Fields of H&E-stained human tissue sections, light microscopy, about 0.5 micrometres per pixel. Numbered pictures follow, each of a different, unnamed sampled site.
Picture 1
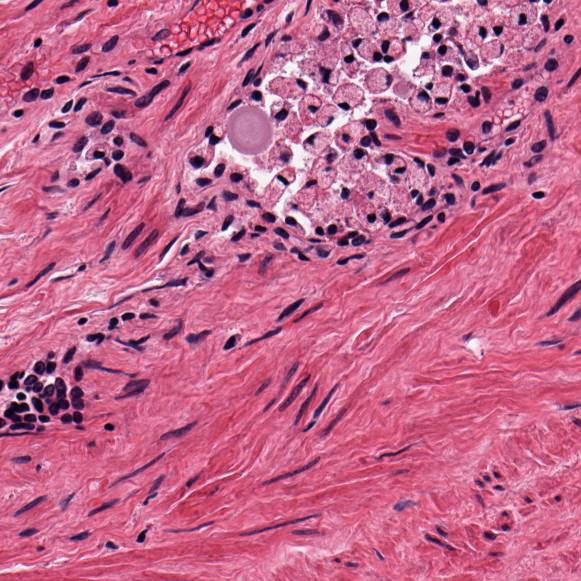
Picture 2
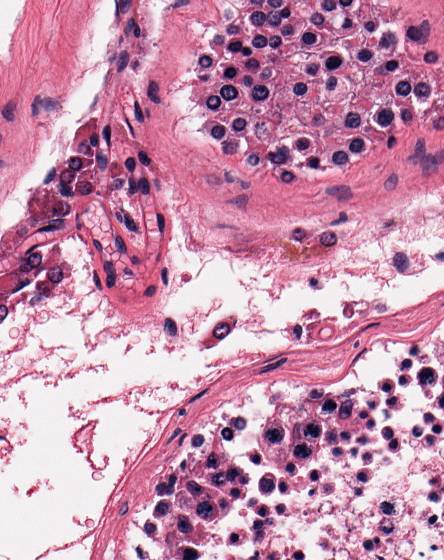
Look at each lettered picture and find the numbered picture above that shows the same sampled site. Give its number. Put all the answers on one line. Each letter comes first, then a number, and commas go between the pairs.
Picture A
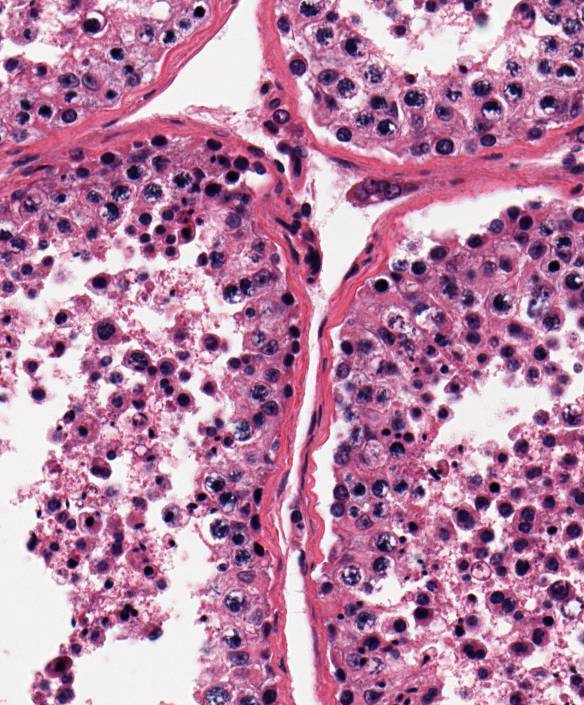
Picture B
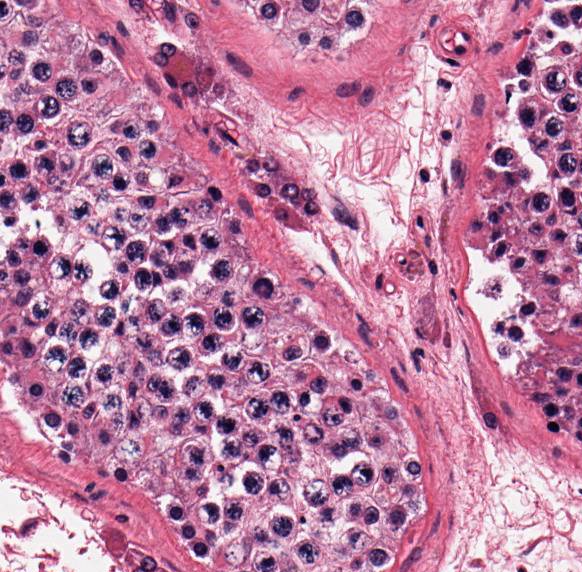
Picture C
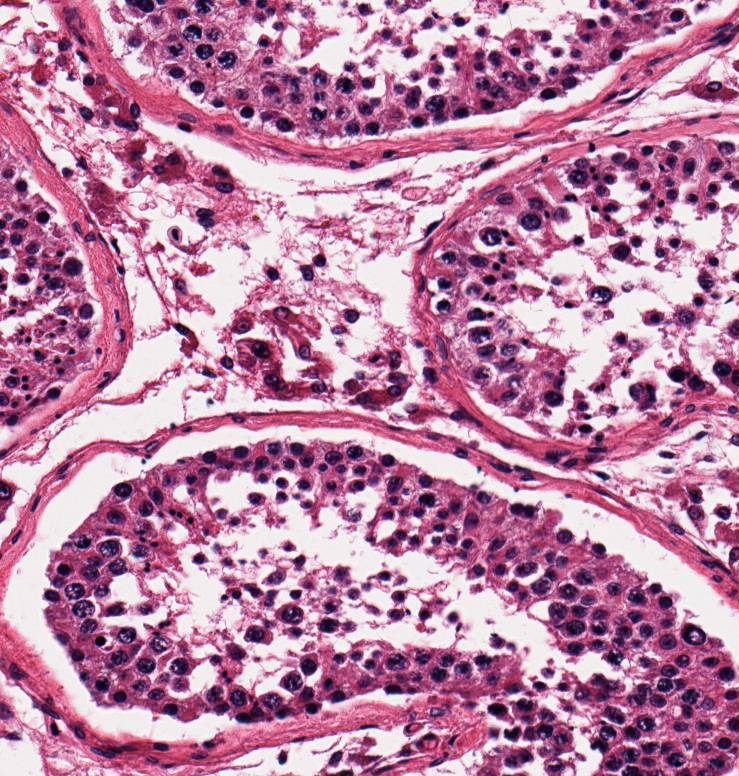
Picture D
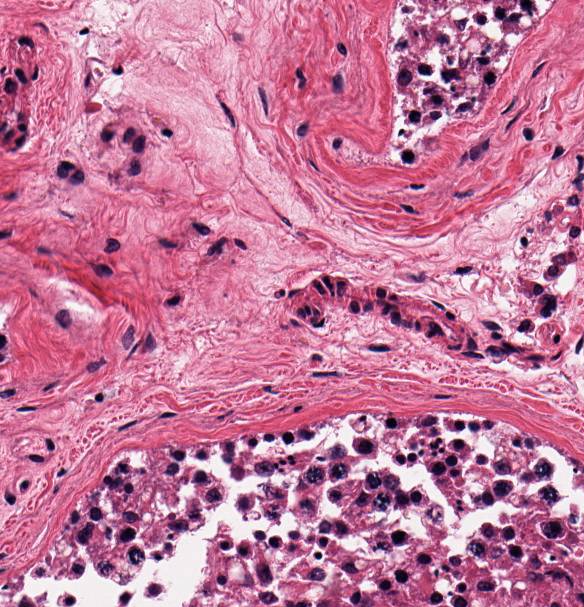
A 2, B 2, C 2, D 2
